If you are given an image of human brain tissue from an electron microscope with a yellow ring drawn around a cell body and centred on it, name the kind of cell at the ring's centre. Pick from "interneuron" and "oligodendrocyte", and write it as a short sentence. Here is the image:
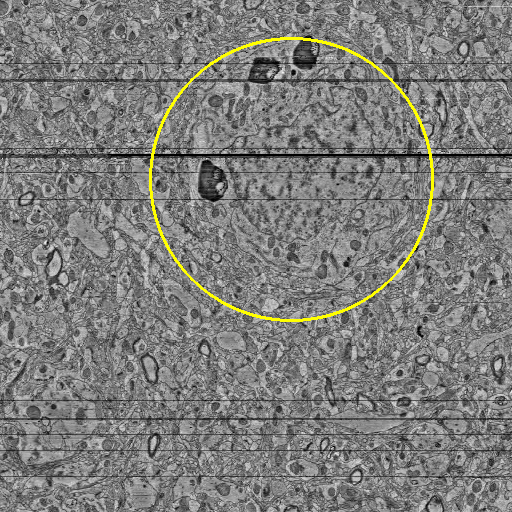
The cell at the ring's centre is an interneuron.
